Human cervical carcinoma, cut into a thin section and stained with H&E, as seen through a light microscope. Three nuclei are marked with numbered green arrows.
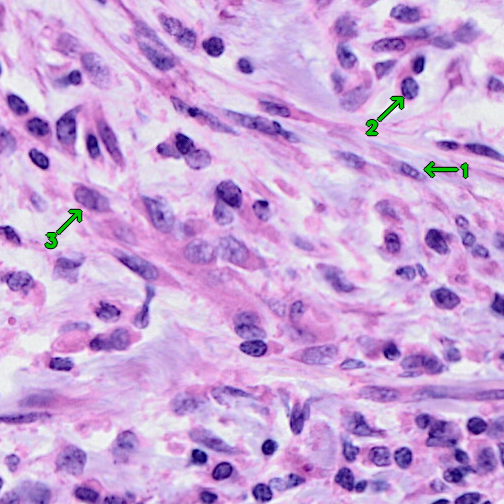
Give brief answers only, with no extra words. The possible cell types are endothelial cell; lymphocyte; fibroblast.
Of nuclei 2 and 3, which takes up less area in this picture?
2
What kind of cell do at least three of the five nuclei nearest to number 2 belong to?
fibroblast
